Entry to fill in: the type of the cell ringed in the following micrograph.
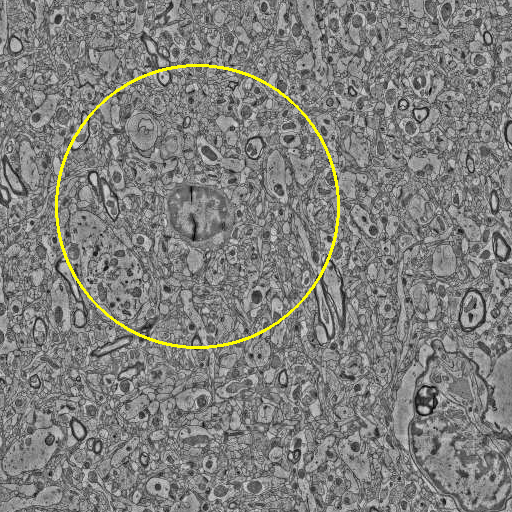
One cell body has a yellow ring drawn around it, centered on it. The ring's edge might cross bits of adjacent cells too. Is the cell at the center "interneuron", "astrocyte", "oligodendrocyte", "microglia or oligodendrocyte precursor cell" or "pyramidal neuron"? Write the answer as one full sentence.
This entry names an oligodendrocyte as the cell whose body lies at the ring's center.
